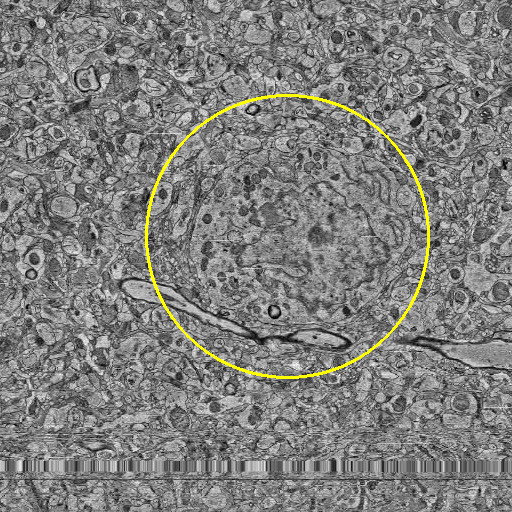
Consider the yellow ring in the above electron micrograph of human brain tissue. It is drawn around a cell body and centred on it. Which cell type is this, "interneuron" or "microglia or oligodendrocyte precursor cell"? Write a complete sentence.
The cell in question is an interneuron.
